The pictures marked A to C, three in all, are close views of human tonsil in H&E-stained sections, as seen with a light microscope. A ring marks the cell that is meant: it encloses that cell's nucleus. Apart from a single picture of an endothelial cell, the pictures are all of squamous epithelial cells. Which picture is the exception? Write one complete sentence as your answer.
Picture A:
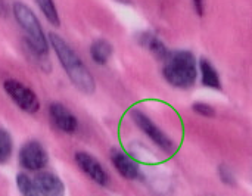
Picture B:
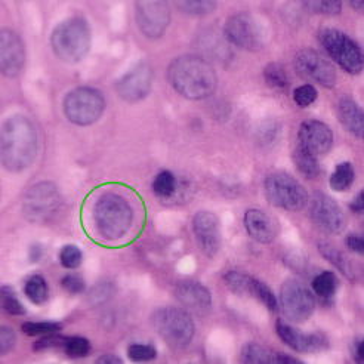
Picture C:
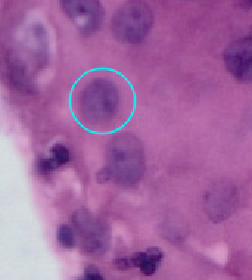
The cell in picture A is the endothelial cell.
